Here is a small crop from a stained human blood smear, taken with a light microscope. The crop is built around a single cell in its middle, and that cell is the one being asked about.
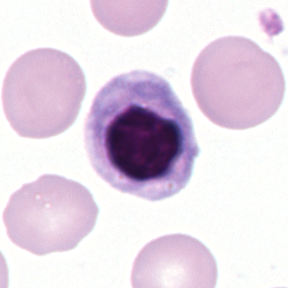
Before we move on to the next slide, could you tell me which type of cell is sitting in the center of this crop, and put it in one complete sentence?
Of the cells in this crop, the central one is an erythroblast.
